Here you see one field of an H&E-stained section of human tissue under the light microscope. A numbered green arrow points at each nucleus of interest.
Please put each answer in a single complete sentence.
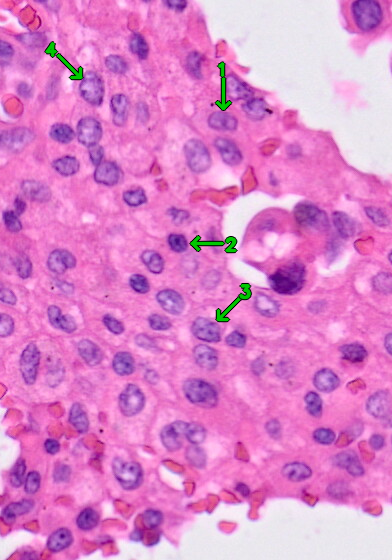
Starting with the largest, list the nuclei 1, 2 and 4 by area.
The nuclei rank 4, 1, 2, from largest to smallest.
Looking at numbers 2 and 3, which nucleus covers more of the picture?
Nucleus 3 covers more area, about 1.5 times as much as nucleus 2.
